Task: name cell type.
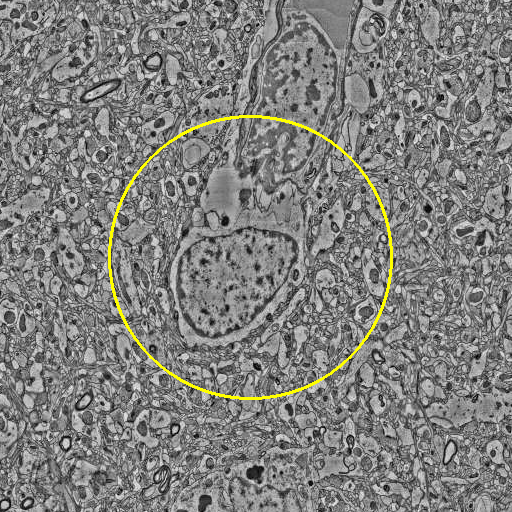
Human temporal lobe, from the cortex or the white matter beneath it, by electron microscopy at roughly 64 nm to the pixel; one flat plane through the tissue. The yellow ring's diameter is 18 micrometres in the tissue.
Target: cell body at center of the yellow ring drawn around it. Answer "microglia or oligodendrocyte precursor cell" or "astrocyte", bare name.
microglia or oligodendrocyte precursor cell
